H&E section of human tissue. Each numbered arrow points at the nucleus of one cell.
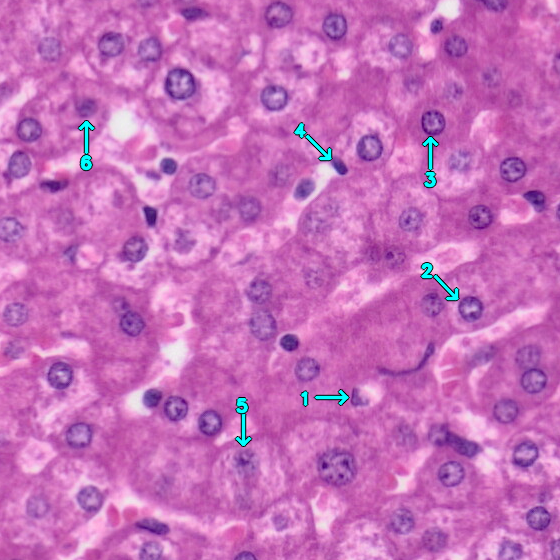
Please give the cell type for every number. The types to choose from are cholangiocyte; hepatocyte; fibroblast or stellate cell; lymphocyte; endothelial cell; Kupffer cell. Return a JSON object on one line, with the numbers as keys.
{"1": "endothelial cell", "2": "hepatocyte", "3": "hepatocyte", "4": "fibroblast or stellate cell", "5": "hepatocyte", "6": "hepatocyte"}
